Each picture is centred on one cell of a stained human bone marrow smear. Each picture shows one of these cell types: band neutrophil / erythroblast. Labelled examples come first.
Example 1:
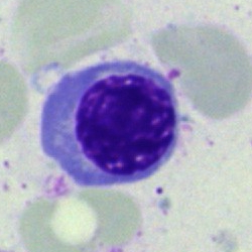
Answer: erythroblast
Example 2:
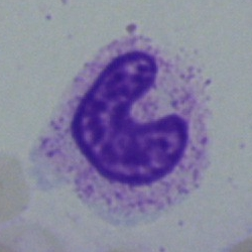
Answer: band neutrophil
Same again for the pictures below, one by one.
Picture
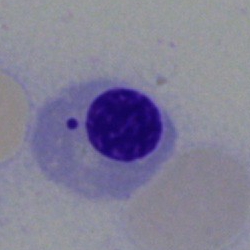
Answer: erythroblast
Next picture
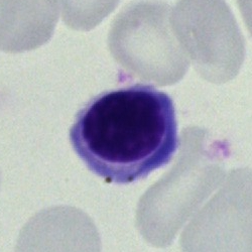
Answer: erythroblast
